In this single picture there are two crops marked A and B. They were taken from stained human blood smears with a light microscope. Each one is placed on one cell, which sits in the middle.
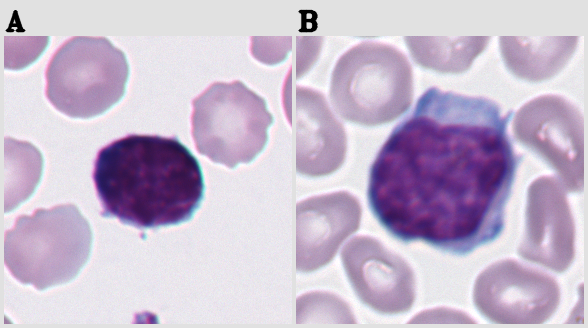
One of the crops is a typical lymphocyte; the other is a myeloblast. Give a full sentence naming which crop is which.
Respectively, crops A and B show a typical lymphocyte and a myeloblast.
